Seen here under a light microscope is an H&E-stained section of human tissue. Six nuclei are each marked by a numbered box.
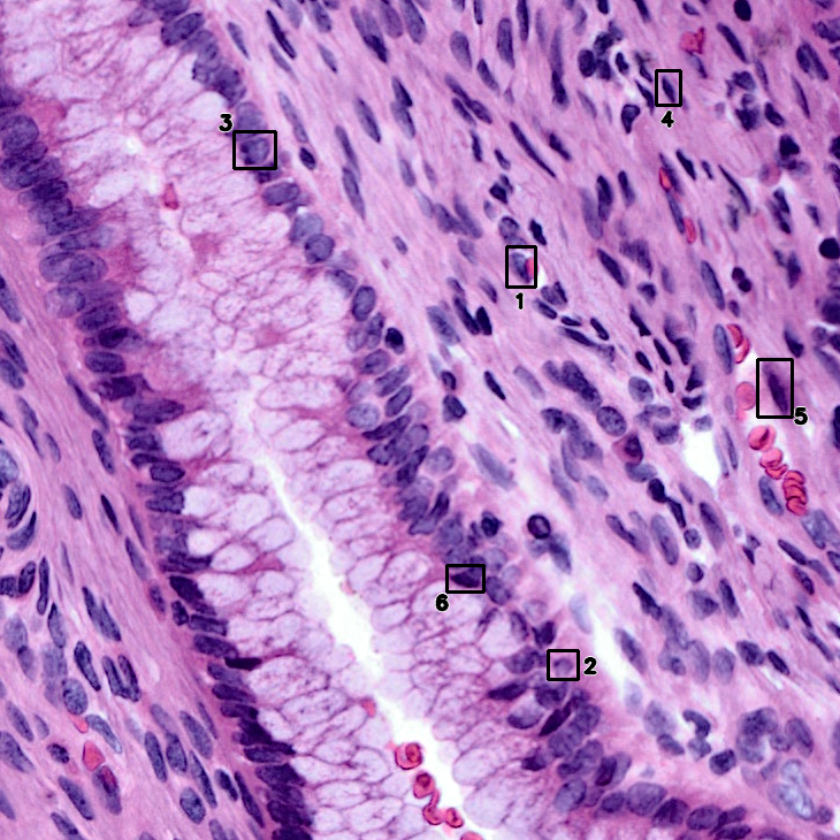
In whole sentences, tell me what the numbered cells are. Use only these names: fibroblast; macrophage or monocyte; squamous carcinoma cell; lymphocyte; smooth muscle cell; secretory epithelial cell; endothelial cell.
Cell 1 is an endothelial cell, cell 2 is a secretory epithelial cell, cell 3 is a secretory epithelial cell, cell 4 is a fibroblast, cell 5 is an endothelial cell and cell 6 is a secretory epithelial cell.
